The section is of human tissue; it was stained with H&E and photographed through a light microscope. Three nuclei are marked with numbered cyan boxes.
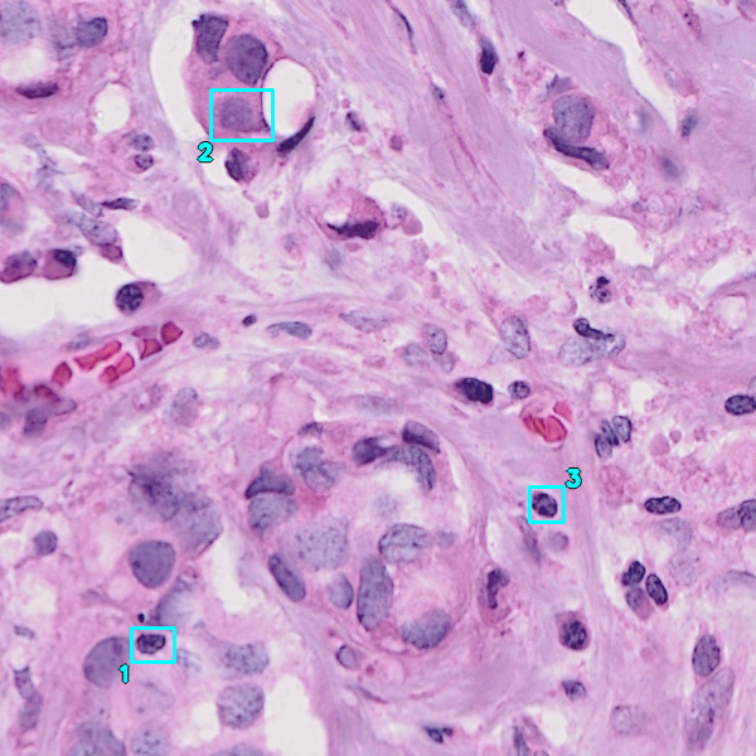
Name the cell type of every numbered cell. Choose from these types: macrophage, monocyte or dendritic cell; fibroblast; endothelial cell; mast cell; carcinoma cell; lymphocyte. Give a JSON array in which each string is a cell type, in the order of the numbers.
["lymphocyte", "carcinoma cell", "lymphocyte"]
